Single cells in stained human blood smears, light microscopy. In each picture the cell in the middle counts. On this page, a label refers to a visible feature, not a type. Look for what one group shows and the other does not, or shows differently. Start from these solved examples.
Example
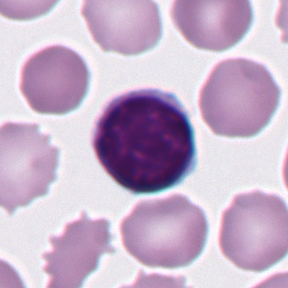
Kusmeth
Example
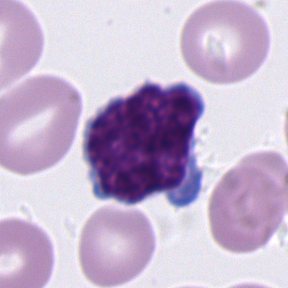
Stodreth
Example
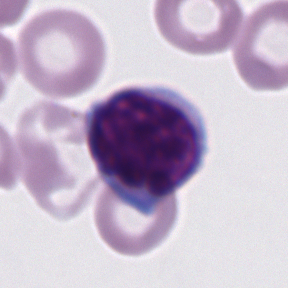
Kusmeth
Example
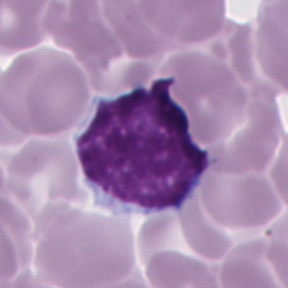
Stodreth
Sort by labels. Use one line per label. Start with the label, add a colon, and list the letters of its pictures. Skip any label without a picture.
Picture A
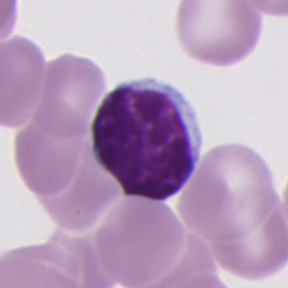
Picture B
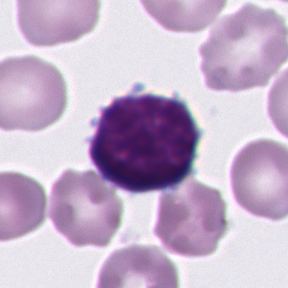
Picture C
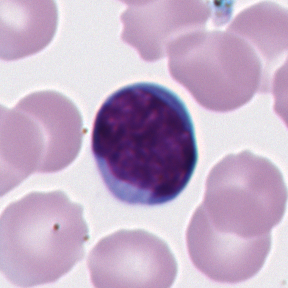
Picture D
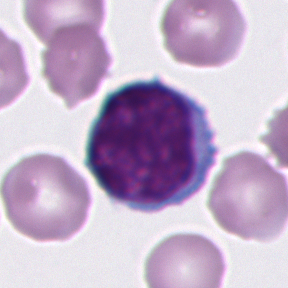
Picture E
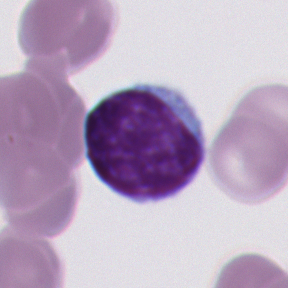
Kusmeth: A, C, E
Stodreth: B, D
